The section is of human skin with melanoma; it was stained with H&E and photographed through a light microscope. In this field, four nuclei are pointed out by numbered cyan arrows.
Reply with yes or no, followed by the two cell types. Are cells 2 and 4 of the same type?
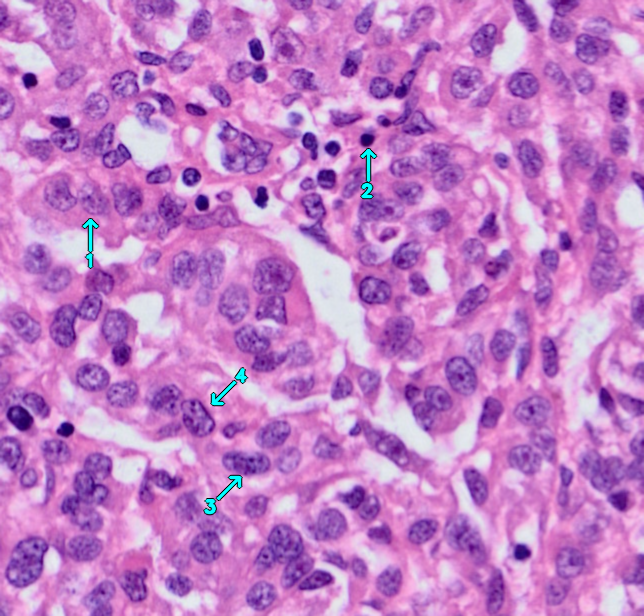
No, cell 2 is a lymphocyte and cell 4 is a melanoma cell.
